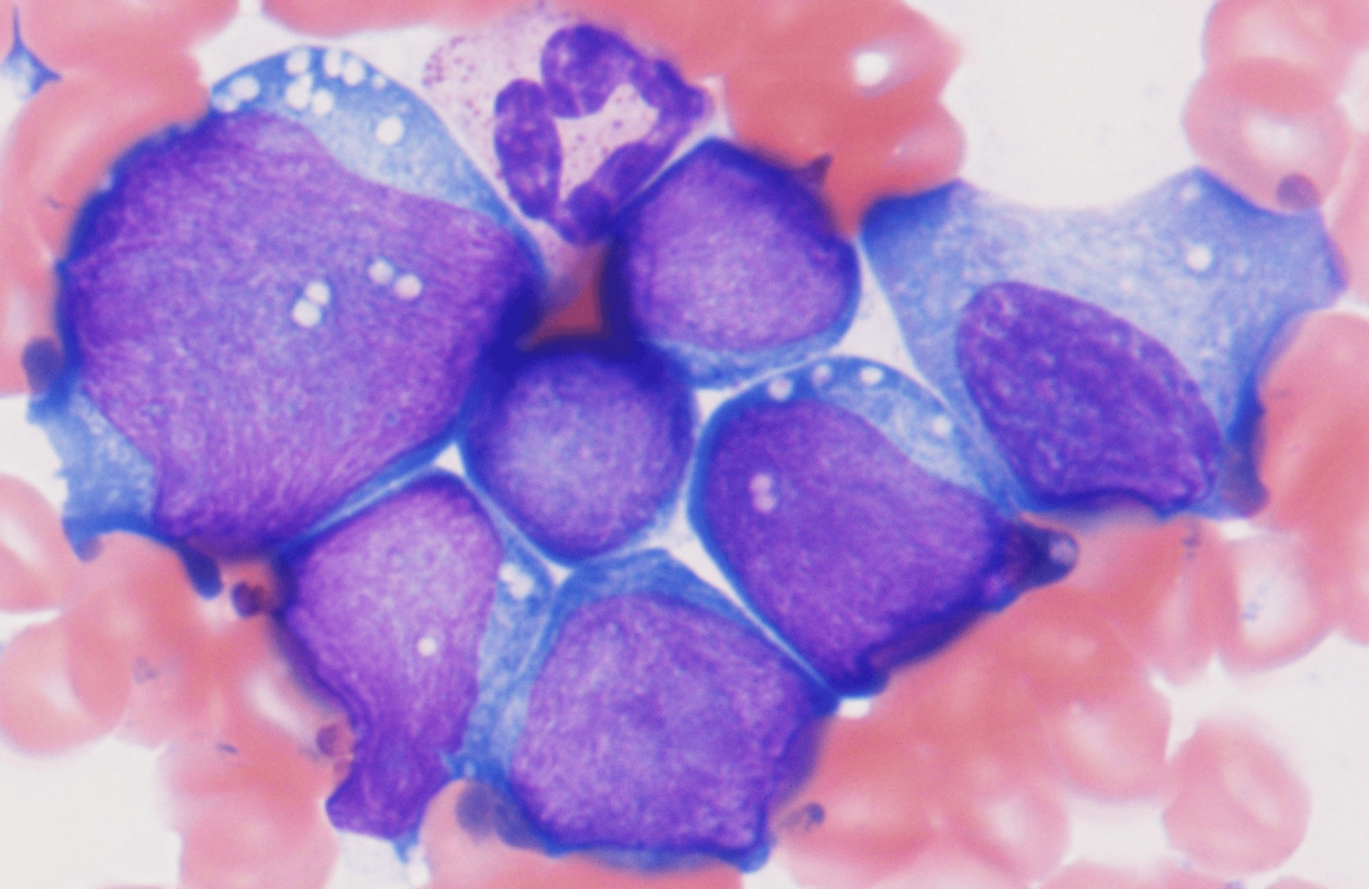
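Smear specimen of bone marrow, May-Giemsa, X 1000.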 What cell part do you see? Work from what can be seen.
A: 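Cytoplasmic vacuoles. Small round clear holes lie in the blue cytoplasm of several large cells. Some clear round holes also overlie the nuclei of the large cells.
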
